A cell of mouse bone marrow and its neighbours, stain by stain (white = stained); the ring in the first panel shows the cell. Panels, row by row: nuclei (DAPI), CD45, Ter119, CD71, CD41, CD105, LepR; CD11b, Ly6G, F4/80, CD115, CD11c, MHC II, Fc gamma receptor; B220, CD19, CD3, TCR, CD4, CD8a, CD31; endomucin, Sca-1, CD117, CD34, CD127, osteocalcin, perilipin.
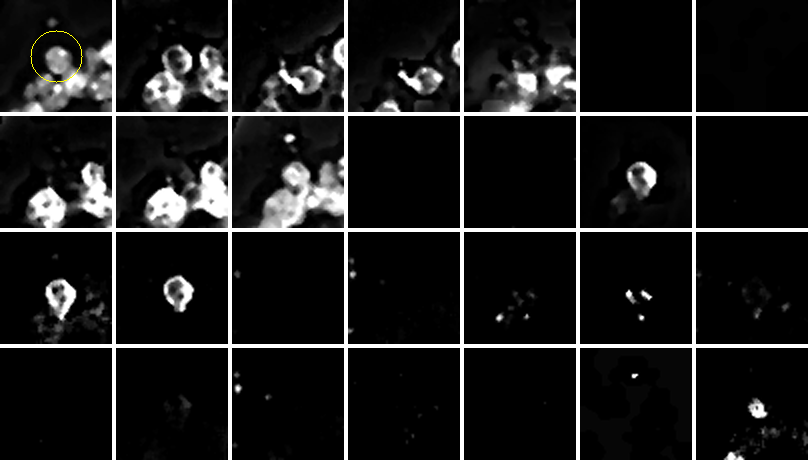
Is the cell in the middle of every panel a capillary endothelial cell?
No, it is a B cell.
